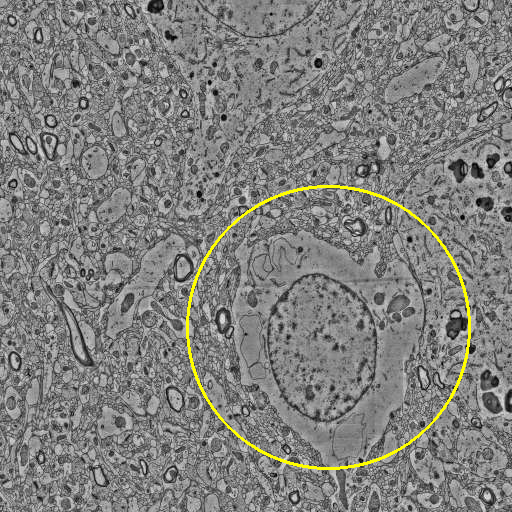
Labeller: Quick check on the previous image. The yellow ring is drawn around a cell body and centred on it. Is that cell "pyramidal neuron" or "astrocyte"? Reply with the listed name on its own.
astrocyte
